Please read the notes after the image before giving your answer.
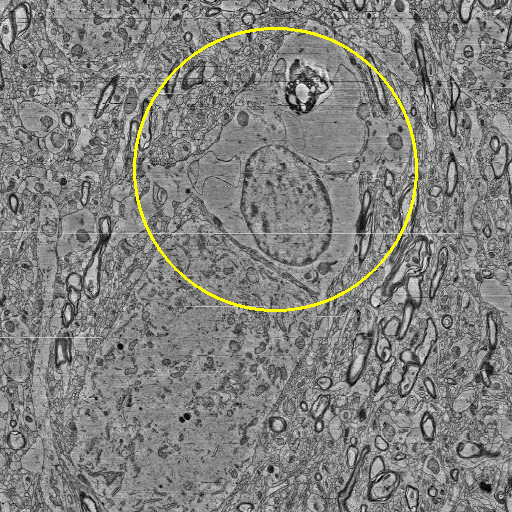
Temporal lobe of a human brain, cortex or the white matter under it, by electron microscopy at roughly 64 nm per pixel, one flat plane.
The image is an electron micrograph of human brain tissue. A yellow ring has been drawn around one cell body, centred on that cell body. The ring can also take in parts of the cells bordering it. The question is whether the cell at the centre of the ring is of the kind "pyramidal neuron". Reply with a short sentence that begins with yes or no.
No, the cell at the centre is of another kind.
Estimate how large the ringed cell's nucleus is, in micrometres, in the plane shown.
The ringed cell's nucleus measures approximately 8 by 6 micrometres in this plane.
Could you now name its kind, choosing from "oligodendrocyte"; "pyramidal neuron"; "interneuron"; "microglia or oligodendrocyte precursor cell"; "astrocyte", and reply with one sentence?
Instead, the picture shows an astrocyte at the centre of the ring.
